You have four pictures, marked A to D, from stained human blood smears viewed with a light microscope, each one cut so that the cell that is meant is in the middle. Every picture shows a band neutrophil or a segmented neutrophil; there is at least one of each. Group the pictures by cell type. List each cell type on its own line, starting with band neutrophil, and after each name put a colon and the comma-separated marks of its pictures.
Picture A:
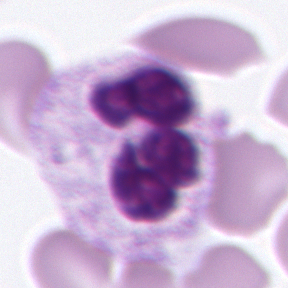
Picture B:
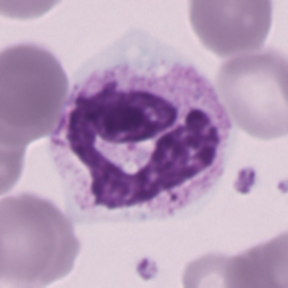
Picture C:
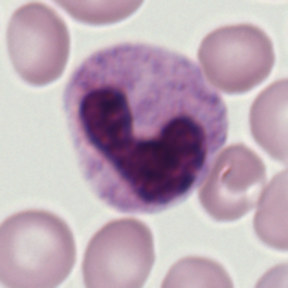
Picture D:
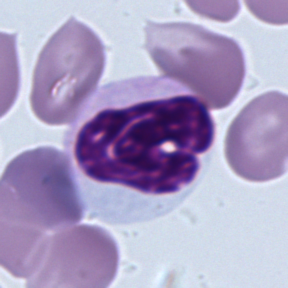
band neutrophil: D
segmented neutrophil: A, B, C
